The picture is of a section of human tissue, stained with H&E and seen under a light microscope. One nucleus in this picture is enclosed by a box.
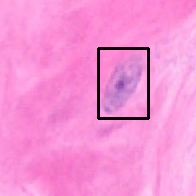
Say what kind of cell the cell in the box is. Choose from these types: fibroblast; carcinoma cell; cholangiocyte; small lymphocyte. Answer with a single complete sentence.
The cell meant here is a fibroblast.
